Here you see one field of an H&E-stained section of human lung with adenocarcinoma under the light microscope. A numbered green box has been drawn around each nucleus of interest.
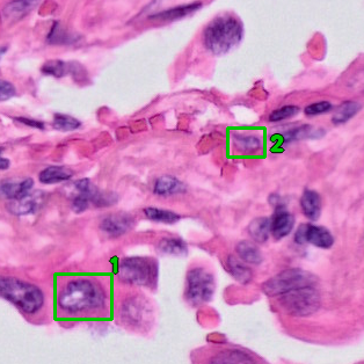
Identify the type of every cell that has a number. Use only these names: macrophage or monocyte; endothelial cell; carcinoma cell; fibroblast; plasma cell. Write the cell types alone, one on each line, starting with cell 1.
carcinoma cell
endothelial cell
